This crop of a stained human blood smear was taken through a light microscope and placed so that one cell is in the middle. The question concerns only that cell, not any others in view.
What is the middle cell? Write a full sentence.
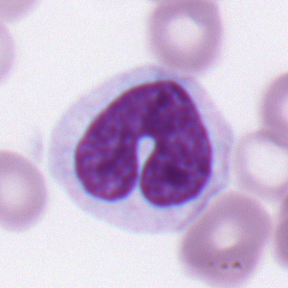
The cell at the heart of this crop is a band neutrophil.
